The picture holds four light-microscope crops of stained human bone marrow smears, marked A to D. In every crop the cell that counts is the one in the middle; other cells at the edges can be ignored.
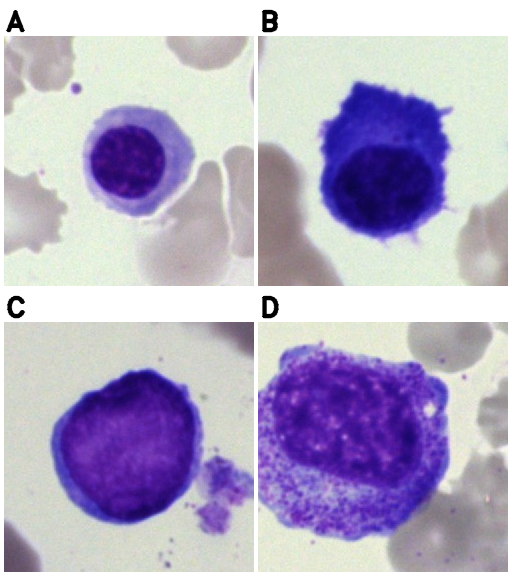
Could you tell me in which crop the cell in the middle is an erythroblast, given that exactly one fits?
A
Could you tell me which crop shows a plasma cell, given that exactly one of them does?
B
